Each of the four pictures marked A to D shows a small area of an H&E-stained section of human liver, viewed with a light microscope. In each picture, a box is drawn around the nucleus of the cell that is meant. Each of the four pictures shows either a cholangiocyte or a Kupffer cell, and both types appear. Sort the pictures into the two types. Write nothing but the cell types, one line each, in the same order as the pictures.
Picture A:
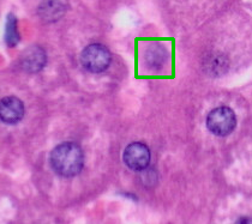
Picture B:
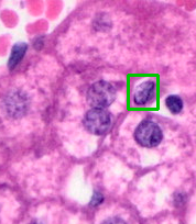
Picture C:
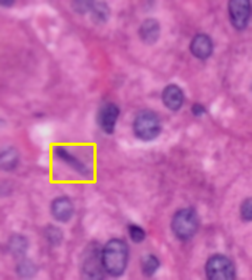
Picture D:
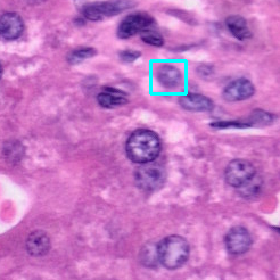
Kupffer cell
Kupffer cell
Kupffer cell
cholangiocyte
